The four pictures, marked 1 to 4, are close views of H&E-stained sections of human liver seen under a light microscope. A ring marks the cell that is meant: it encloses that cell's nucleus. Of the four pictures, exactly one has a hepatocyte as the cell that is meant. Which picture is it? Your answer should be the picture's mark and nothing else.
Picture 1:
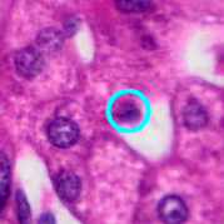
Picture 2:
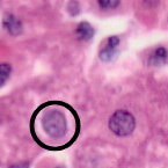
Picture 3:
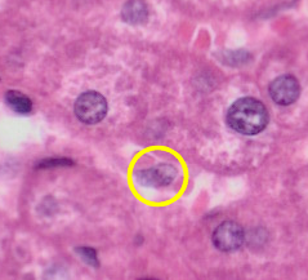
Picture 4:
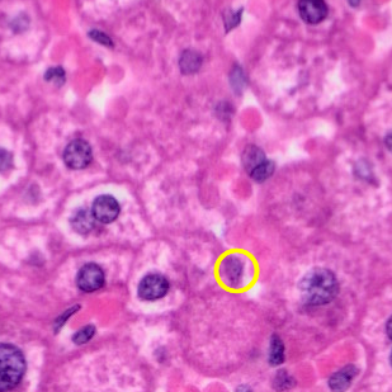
2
